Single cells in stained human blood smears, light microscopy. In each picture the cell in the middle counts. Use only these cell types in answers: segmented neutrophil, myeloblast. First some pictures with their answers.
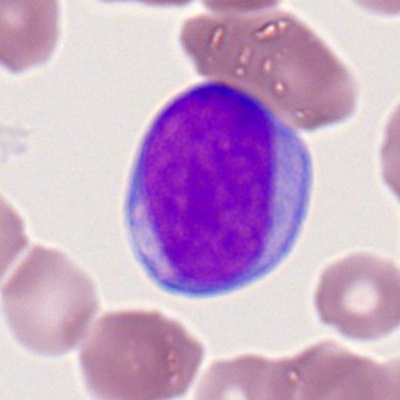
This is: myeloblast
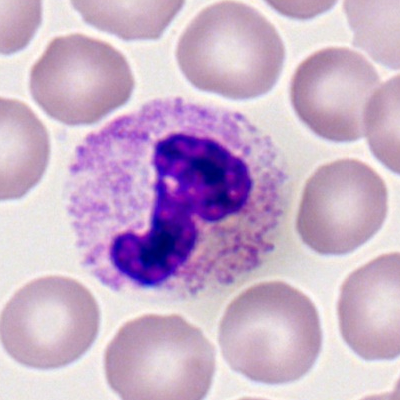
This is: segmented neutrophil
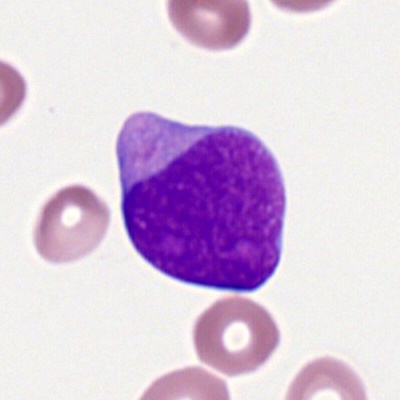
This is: myeloblast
